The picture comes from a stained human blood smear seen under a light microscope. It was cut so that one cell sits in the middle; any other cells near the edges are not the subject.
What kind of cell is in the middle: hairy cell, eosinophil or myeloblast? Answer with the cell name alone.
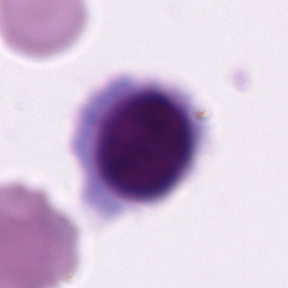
hairy cell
